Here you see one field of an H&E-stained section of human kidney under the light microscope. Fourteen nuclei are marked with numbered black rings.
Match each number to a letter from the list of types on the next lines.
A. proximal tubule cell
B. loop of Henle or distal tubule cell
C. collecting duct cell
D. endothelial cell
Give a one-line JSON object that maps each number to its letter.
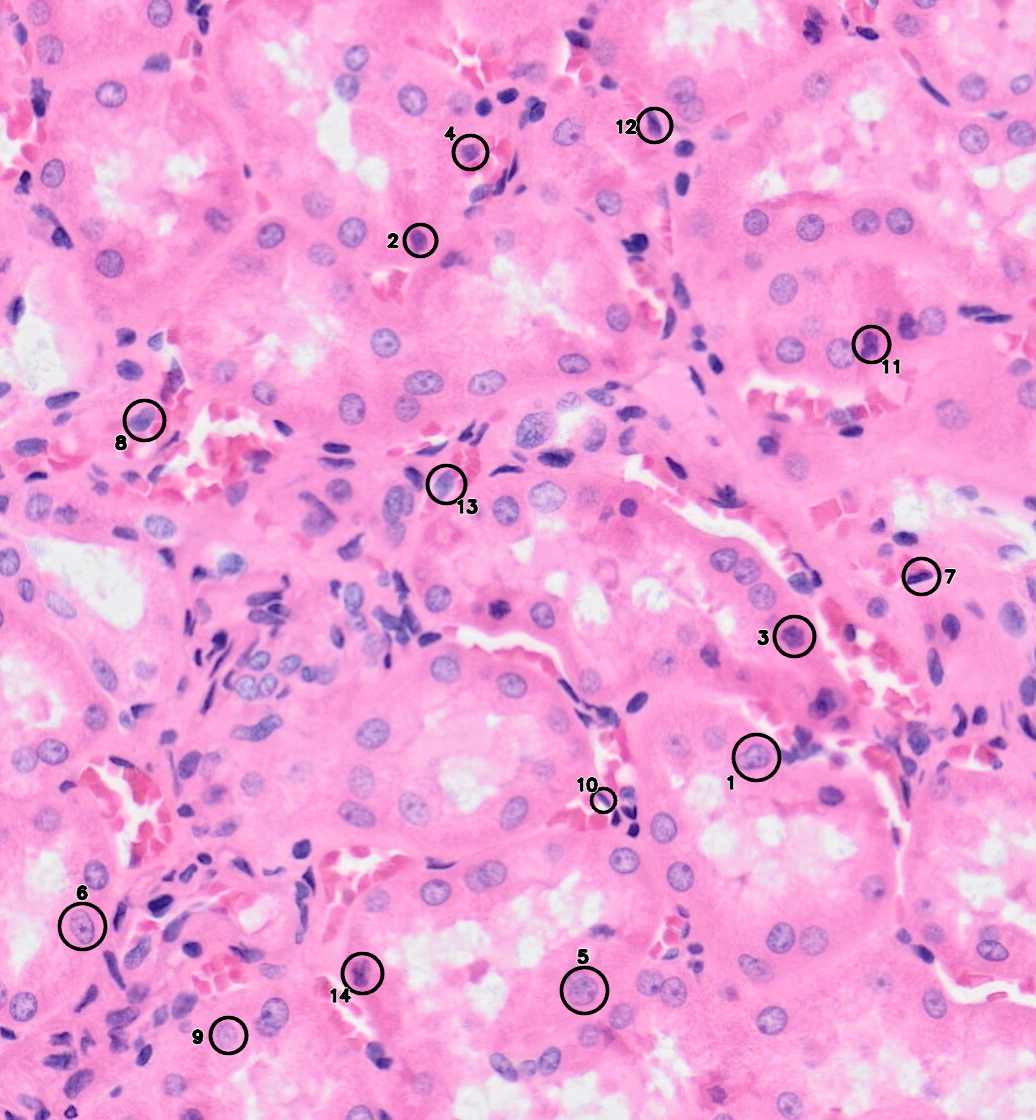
{"1": "A", "2": "A", "3": "A", "4": "D", "5": "A", "6": "A", "7": "D", "8": "D", "9": "A", "10": "D", "11": "A", "12": "D", "13": "D", "14": "A"}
